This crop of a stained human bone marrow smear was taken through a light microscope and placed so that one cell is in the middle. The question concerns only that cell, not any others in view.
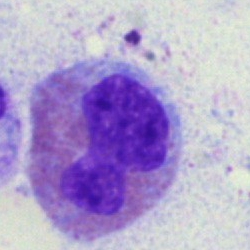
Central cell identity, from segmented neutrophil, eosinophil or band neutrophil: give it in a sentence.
The identification for the central cell is an eosinophil.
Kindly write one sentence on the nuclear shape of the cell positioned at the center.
Its nucleus is compact and single, with a round, oval or kidney-shaped form.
